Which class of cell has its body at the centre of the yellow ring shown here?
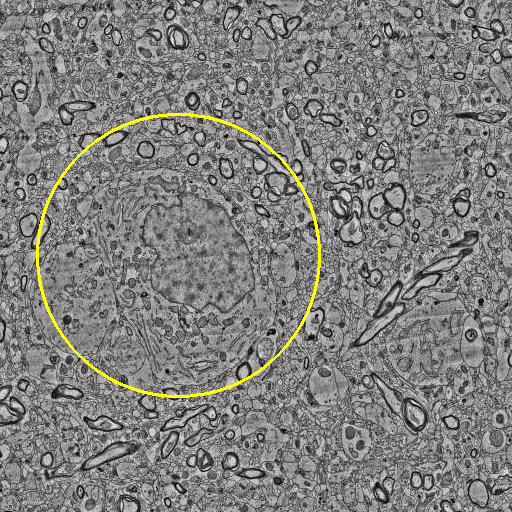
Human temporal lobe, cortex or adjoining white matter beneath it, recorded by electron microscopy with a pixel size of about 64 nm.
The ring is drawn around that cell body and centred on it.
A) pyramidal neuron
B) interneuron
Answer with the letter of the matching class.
B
